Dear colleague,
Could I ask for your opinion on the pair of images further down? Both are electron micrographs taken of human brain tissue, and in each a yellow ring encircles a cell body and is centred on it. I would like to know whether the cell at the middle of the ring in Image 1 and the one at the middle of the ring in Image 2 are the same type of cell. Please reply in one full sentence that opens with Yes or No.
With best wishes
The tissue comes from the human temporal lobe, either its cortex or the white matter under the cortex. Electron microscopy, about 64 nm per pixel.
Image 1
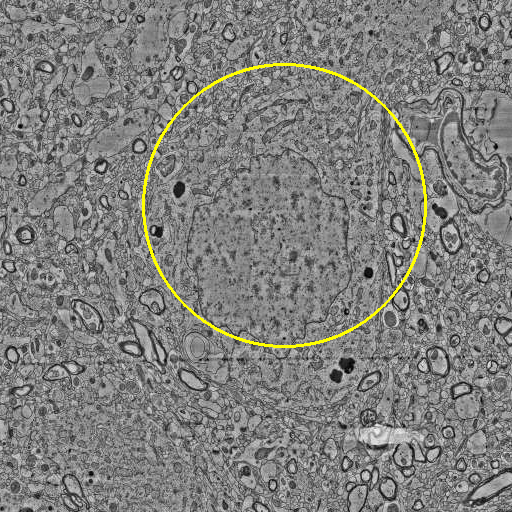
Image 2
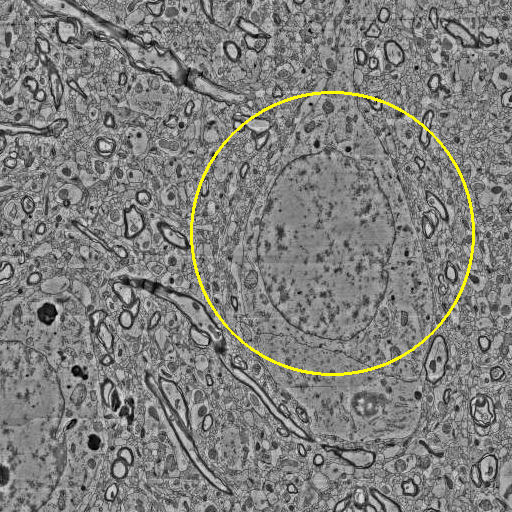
Yes, the cells at the ring centres in Image 1 and Image 2 are of one type.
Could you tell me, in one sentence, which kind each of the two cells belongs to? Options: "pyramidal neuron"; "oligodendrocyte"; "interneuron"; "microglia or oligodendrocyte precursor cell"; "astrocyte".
Both pictures show a pyramidal neuron at the centre of the ring.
